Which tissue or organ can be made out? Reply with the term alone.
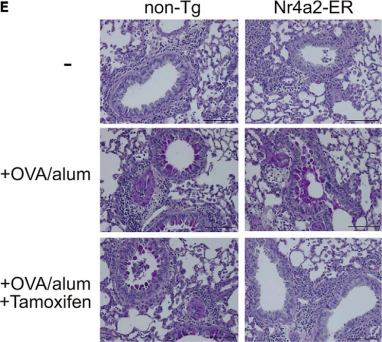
Lung.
